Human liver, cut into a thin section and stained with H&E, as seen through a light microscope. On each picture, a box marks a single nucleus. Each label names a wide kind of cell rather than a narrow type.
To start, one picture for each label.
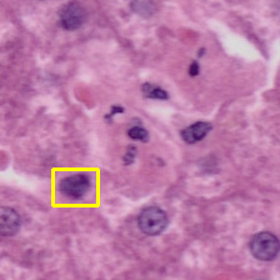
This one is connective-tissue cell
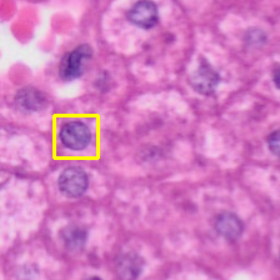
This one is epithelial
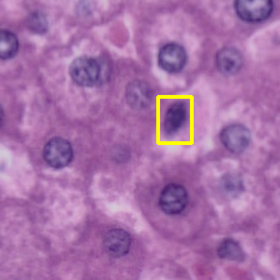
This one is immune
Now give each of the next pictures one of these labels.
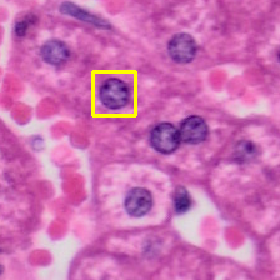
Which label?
epithelial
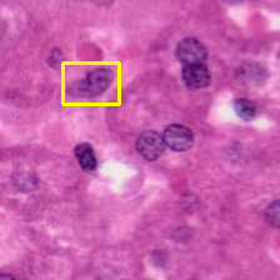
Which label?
immune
